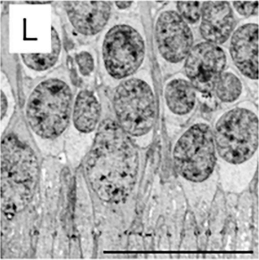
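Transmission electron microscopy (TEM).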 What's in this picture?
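An electron micrograph of photoreceptor cells packed in their nuclear layer. Round nuclei with intact envelopes fill most of the field, each showing coarse dark clumps of heterochromatin scattered through a lighter nucleoplasm. A thin band of grey cytoplasm separates neighbouring nuclei, and narrow parallel processes run vertically at the bottom of the field.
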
